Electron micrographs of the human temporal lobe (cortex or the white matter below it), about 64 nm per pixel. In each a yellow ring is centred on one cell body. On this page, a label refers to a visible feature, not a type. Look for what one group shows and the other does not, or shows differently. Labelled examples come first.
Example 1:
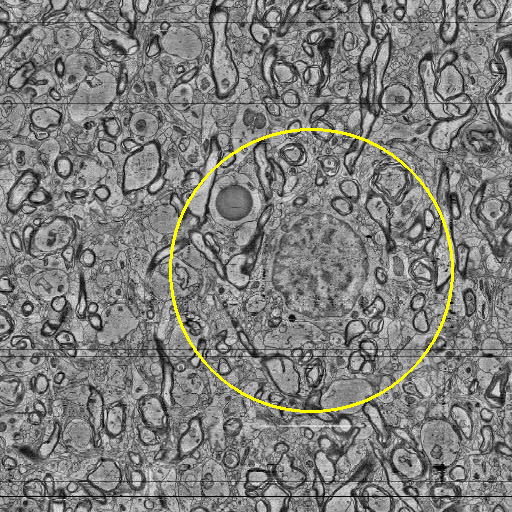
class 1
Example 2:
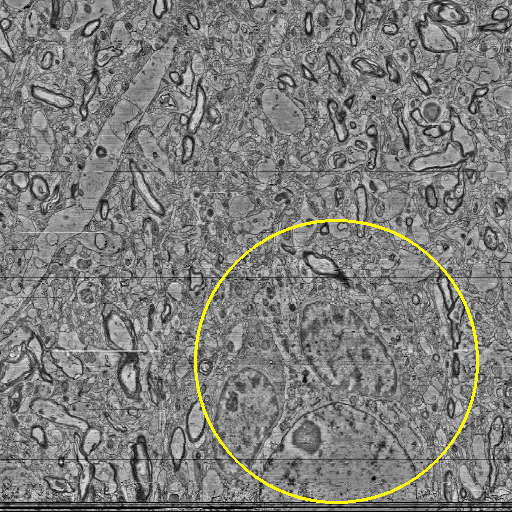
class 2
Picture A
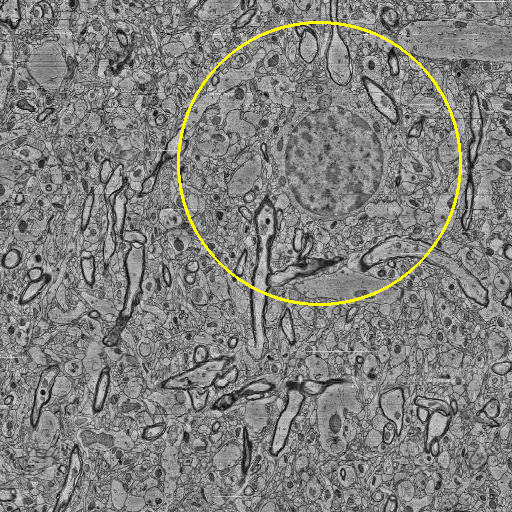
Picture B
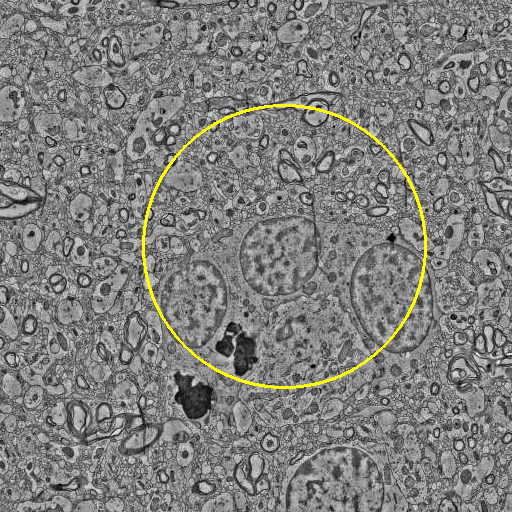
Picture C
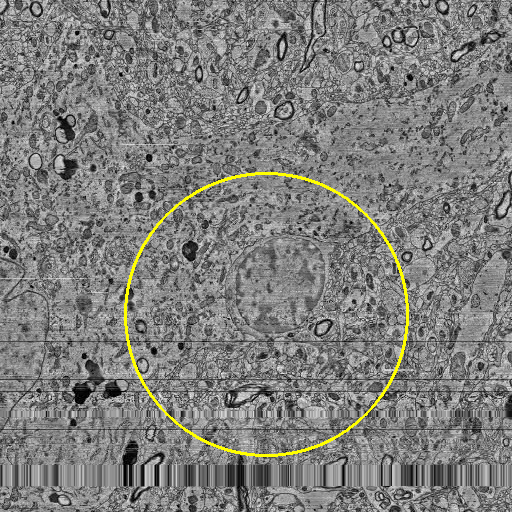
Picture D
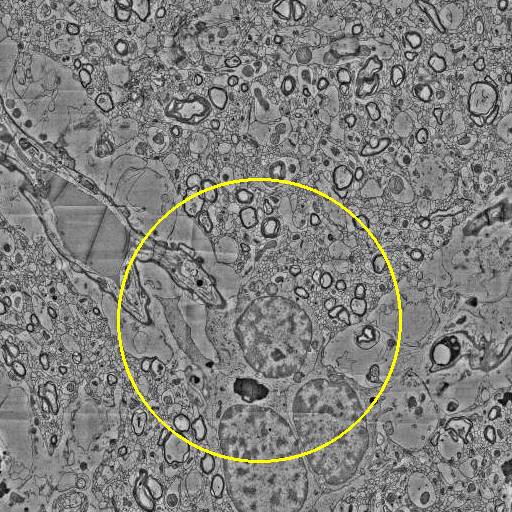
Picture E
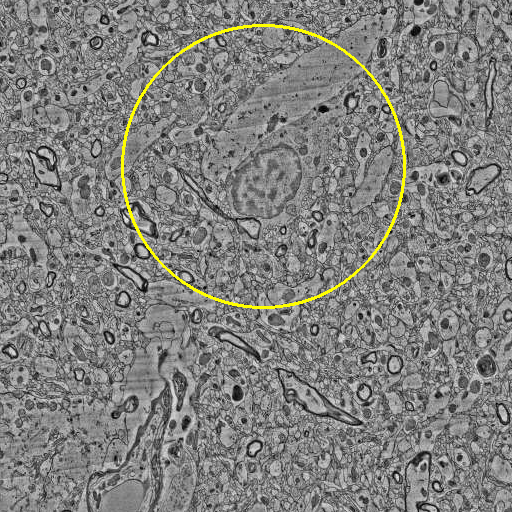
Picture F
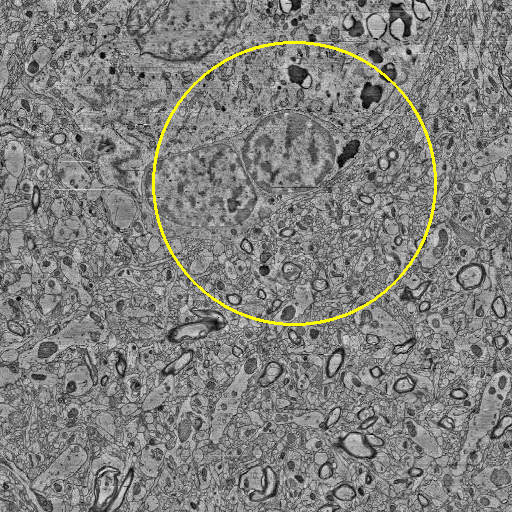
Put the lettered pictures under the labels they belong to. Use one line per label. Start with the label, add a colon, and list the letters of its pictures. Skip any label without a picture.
class 1: A, B, C, D, E, F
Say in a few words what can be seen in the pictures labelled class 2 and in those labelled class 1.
Seen in class 2: clearly elongated nuclei; seen in class 1: round or nearly round nuclei.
